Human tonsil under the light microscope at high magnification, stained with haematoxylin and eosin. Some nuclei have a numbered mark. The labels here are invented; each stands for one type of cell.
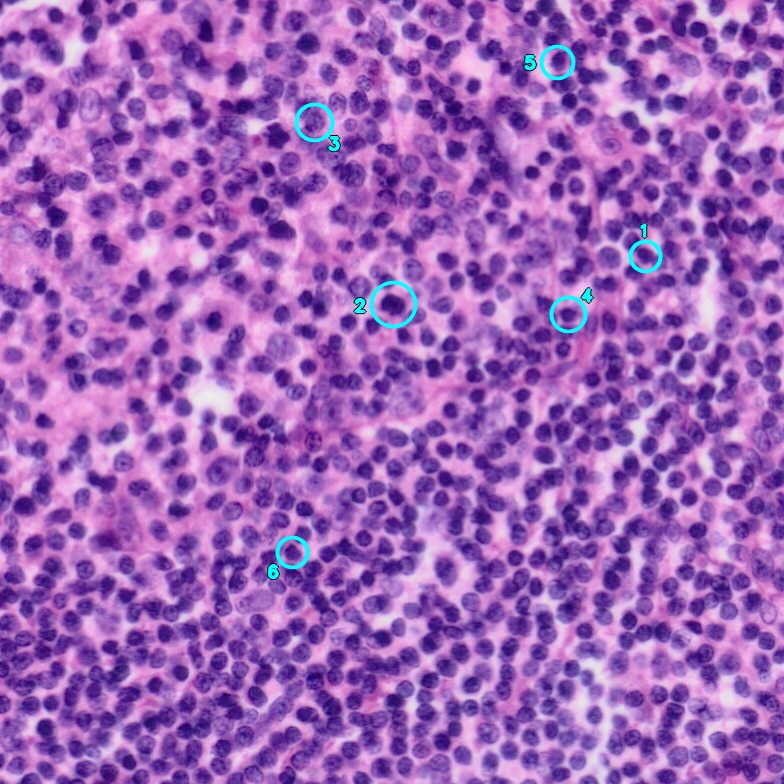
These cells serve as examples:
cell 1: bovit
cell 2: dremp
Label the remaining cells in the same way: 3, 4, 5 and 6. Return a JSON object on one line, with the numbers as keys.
{"3": "dremp", "4": "bovit", "5": "bovit", "6": "bovit"}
